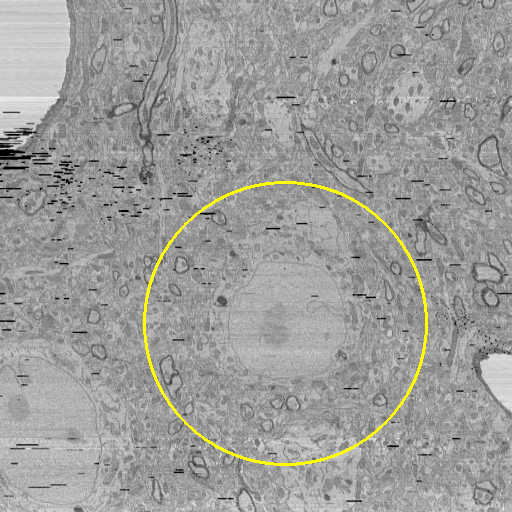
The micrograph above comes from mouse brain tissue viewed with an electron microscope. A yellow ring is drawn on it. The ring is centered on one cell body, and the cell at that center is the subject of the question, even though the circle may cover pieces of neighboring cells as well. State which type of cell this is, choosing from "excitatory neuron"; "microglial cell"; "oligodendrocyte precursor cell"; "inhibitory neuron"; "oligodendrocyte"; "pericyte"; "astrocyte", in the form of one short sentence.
The cell the ring is centered on is an excitatory neuron.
